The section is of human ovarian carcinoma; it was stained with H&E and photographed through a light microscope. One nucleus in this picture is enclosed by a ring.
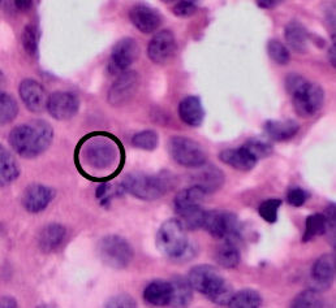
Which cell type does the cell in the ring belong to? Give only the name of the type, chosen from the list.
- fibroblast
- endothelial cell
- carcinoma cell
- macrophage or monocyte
carcinoma cell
